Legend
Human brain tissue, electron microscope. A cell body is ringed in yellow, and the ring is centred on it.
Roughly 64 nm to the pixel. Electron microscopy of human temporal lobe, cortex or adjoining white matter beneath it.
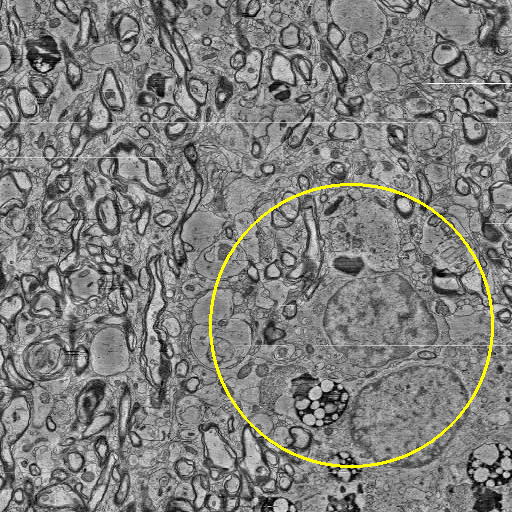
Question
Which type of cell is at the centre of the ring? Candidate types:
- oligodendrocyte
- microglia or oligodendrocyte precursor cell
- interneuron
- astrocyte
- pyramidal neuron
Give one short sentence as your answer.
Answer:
The yellow ring is centred here on an oligodendrocyte.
